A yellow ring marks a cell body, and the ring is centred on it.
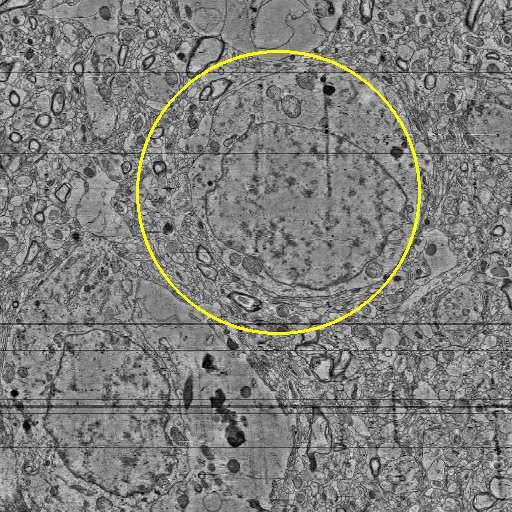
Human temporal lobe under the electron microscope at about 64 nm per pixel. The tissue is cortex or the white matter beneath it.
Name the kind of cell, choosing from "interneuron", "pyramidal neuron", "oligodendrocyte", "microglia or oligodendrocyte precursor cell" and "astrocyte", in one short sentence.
The marked cell body belongs to a pyramidal neuron.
